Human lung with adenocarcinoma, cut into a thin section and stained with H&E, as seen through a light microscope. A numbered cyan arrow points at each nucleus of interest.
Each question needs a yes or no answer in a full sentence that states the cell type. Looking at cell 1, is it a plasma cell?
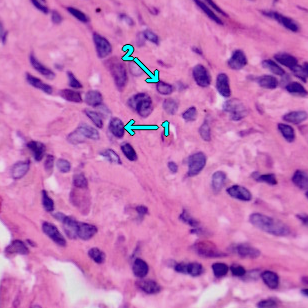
No, cell 1 is not a plasma cell at all but a lymphocyte.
